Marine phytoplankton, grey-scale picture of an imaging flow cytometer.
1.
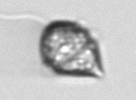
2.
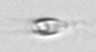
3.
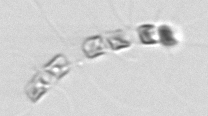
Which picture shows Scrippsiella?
Picture 1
